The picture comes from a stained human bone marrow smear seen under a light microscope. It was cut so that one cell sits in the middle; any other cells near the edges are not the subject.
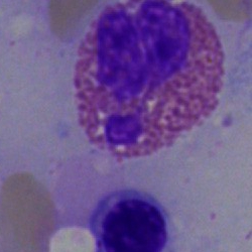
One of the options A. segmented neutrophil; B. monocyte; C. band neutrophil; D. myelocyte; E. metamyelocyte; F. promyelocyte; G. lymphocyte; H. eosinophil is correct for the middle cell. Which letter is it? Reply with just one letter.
H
